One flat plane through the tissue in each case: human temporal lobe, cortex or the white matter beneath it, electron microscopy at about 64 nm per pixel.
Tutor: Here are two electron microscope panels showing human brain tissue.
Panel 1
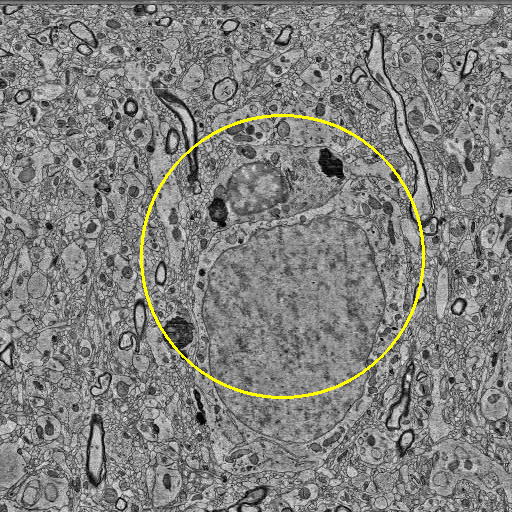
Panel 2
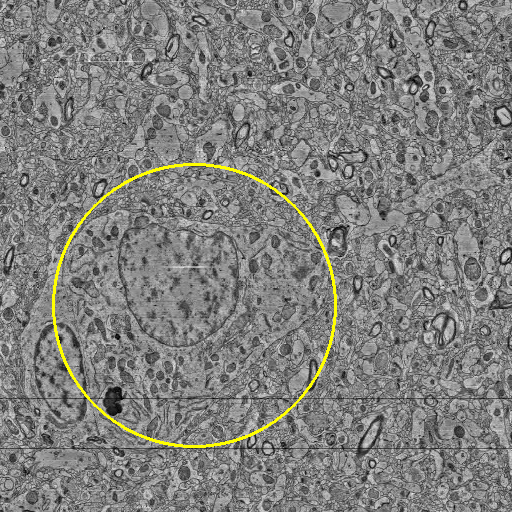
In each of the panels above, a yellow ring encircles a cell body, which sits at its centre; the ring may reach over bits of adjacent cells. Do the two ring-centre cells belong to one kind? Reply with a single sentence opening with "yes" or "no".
Yes, the two cells sitting at the ring centres in the panels belong to one kind.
